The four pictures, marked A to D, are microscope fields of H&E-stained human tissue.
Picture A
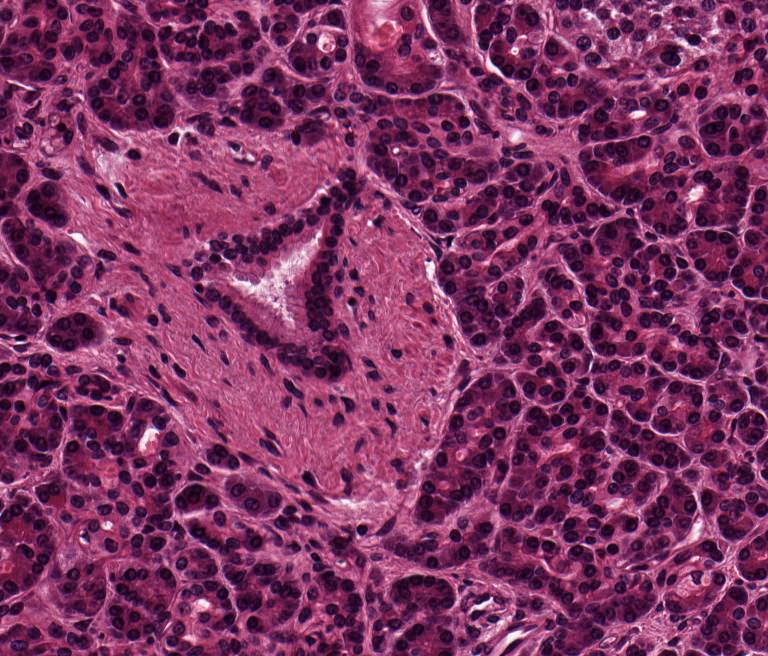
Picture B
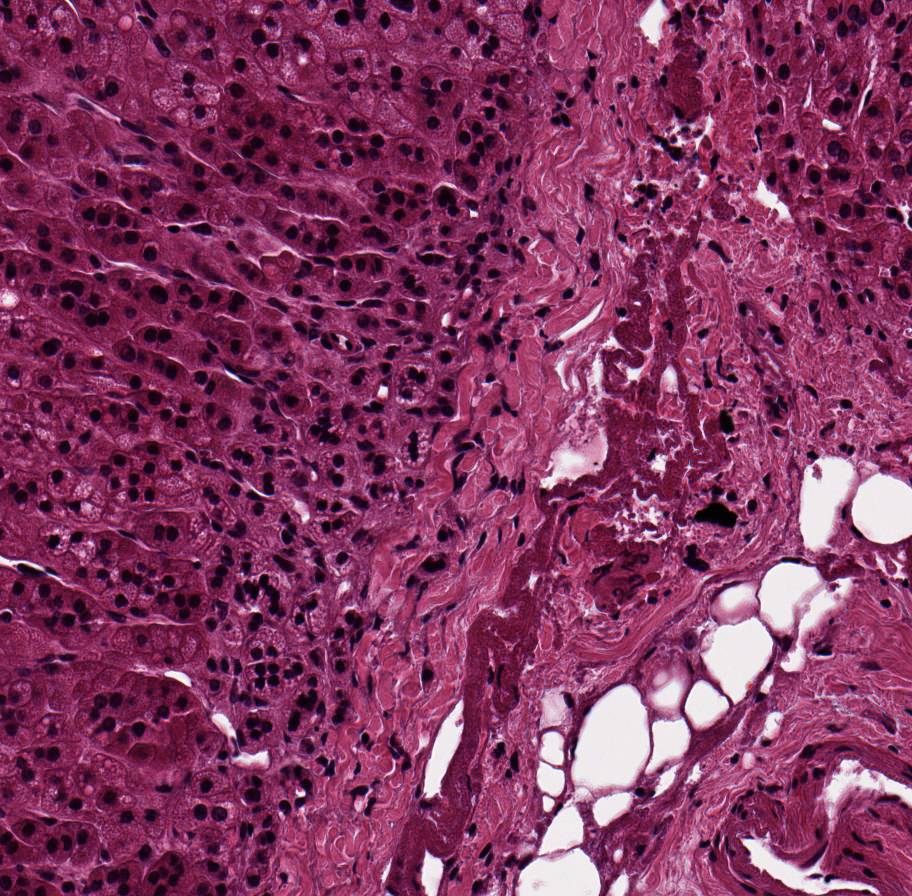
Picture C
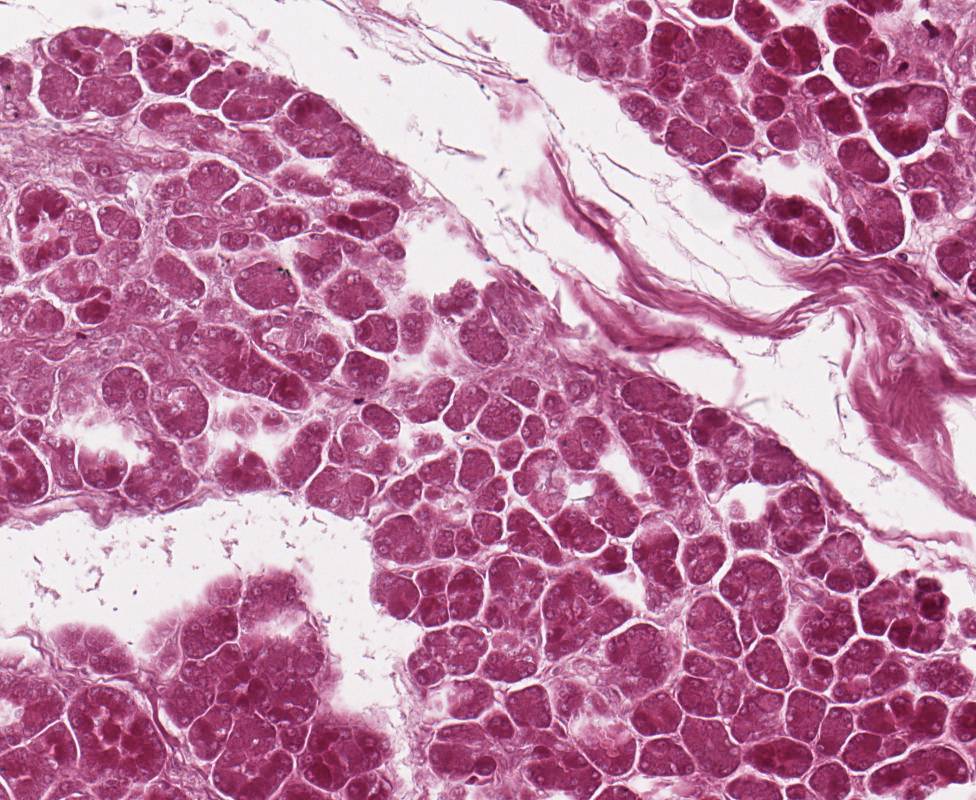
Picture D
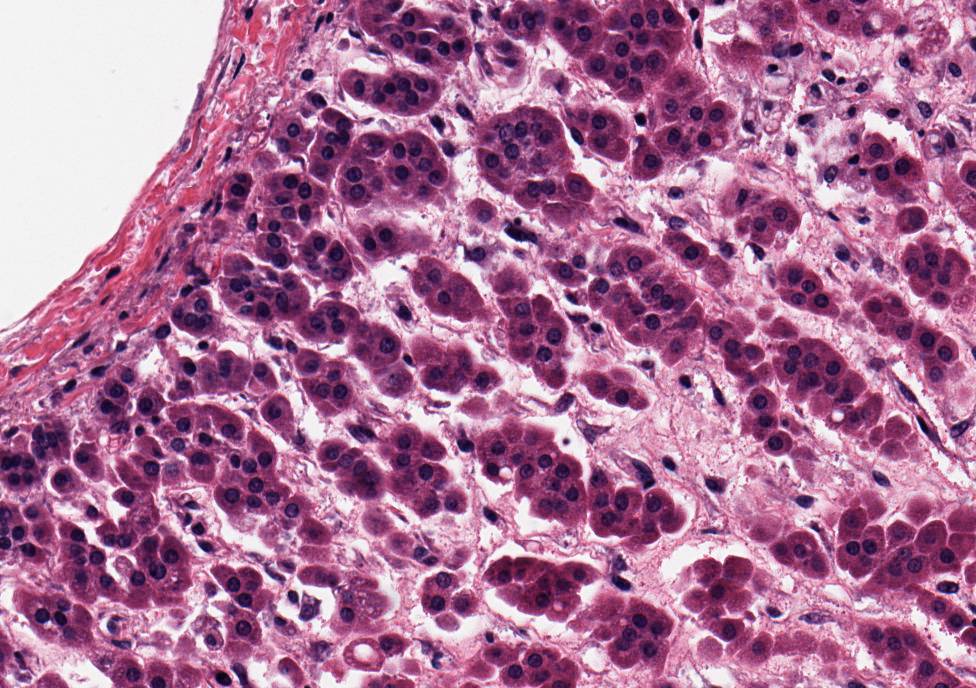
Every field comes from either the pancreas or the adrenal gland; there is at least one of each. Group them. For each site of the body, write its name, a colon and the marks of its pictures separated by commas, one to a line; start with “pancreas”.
pancreas: A, C
adrenal gland: B, D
